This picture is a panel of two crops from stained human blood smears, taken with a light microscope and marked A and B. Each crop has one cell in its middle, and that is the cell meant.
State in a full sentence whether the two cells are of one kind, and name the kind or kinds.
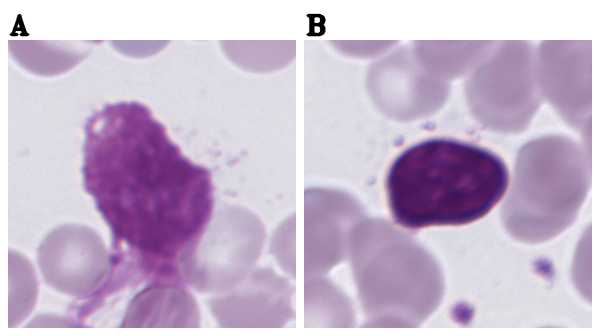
Yes, smudge cells are seen in both crops.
